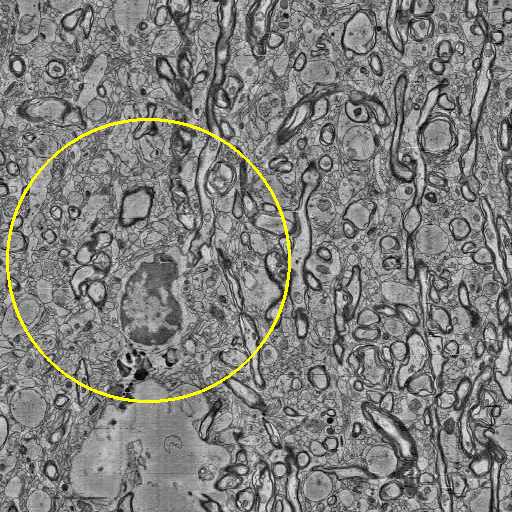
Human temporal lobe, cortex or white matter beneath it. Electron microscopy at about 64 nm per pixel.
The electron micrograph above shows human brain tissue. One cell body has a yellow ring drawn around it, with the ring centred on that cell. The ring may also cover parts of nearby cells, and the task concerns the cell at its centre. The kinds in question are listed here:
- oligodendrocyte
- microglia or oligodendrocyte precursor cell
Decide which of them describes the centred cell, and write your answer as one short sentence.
The centred cell is a microglial cell or oligodendrocyte precursor cell.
